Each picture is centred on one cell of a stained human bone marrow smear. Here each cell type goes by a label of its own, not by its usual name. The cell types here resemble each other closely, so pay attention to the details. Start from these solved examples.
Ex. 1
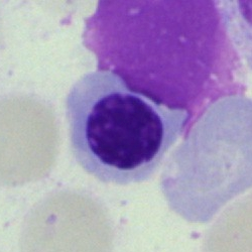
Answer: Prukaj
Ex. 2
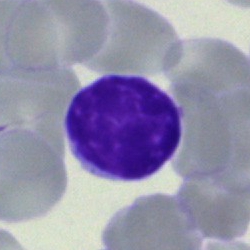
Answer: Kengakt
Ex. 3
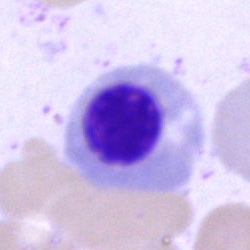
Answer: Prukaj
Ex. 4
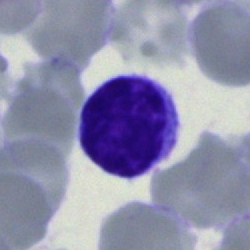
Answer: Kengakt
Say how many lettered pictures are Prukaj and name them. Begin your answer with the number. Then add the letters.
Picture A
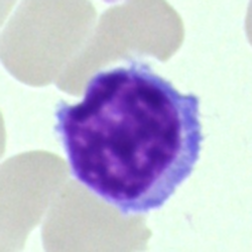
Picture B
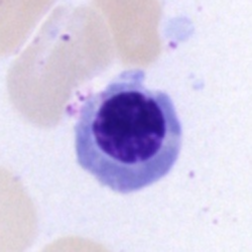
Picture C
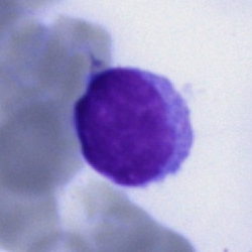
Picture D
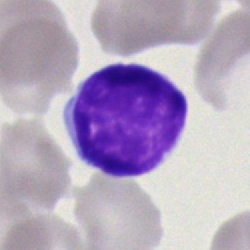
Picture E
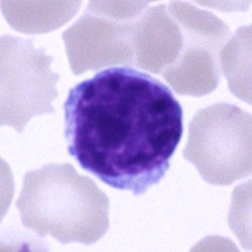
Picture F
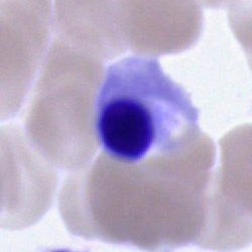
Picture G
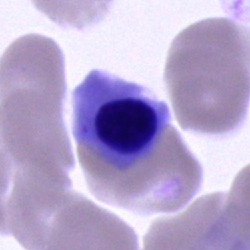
3: B, F, G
